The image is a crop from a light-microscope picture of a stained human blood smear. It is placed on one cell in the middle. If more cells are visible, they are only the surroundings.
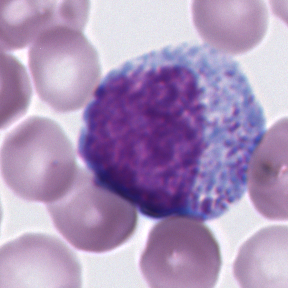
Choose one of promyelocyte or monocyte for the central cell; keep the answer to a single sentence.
As for the cell in the middle, it is a promyelocyte.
